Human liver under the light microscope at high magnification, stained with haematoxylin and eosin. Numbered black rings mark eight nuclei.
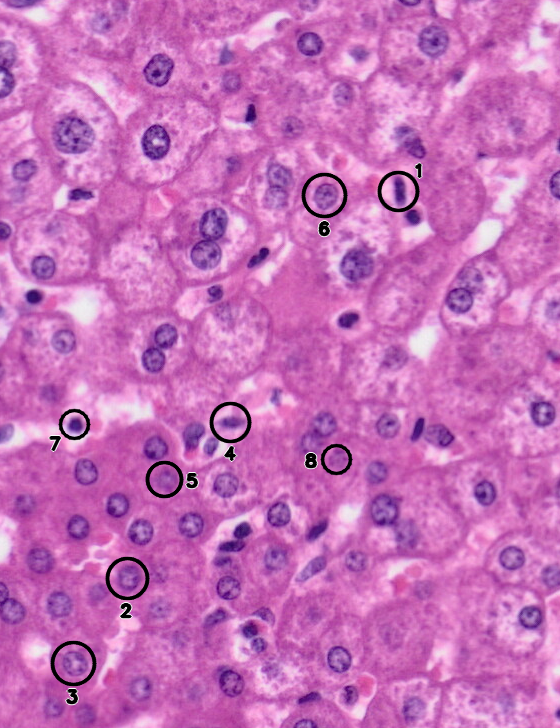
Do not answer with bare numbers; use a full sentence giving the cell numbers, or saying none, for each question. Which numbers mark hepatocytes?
Classified as hepatocytes are the cells numbered 2, 3, 5, 6 and 8.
